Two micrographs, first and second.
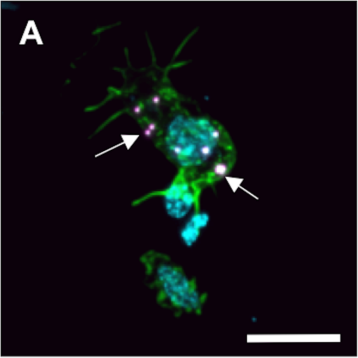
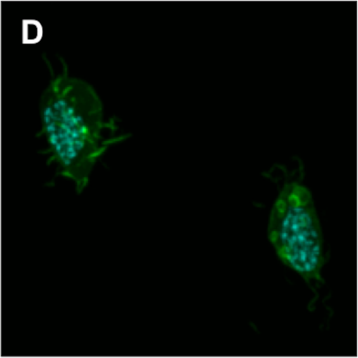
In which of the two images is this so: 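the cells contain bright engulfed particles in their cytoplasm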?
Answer: the first image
